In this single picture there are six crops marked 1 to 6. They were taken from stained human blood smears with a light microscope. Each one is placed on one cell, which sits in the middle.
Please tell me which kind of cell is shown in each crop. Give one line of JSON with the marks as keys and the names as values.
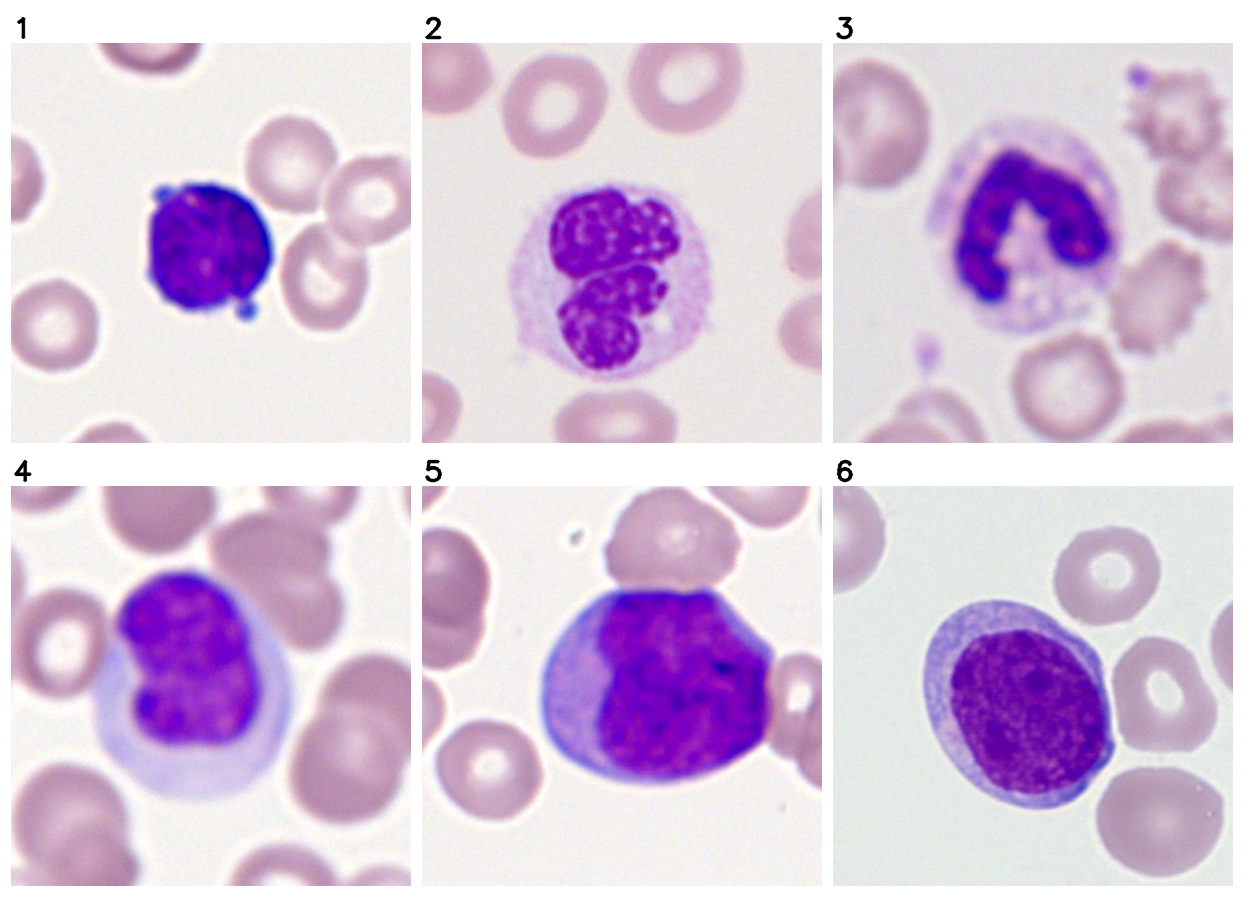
{"1": "lymphocyte", "2": "monocyte", "3": "band neutrophil", "4": "monocyte", "5": "myeloblast", "6": "myeloblast"}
